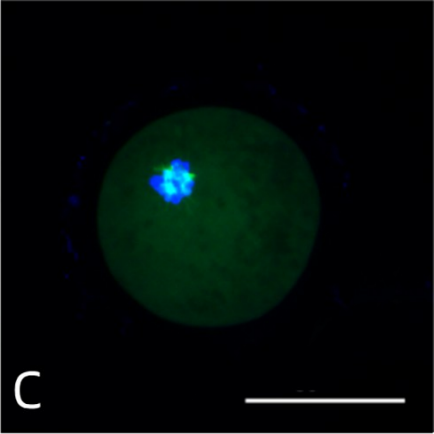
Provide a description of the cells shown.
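A large, round oocyte with faint, even green fluorescence in its cytoplasm is shown. Near its upper left a compact cluster of bright blue, condensed chromosomes lies, overlapped and fringed by short bright green strands.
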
